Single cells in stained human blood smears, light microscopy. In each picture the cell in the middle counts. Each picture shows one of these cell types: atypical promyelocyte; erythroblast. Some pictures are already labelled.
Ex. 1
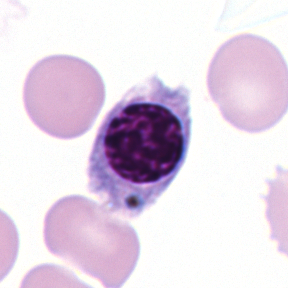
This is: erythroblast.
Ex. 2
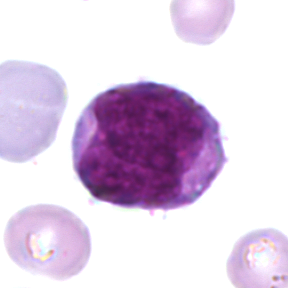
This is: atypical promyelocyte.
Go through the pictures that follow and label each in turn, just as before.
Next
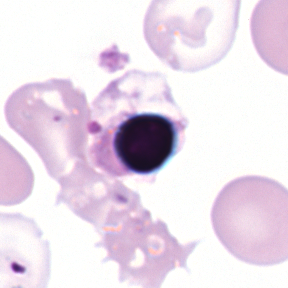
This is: erythroblast.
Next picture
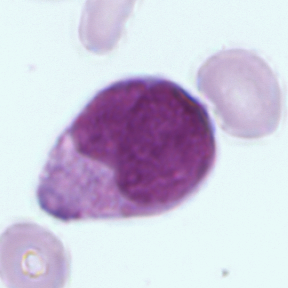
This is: atypical promyelocyte.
